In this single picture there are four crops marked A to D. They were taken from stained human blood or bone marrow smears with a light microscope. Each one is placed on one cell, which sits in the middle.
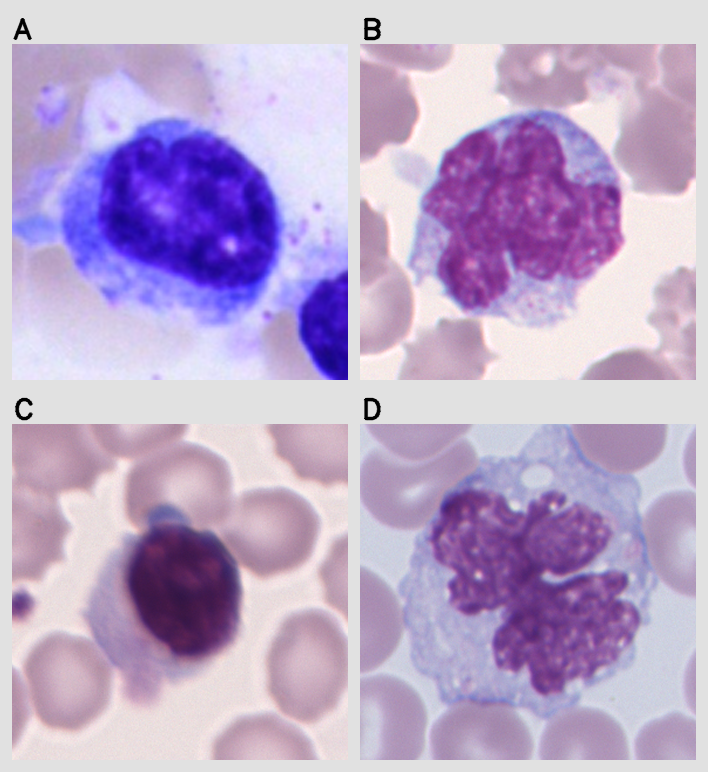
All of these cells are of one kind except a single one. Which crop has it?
C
